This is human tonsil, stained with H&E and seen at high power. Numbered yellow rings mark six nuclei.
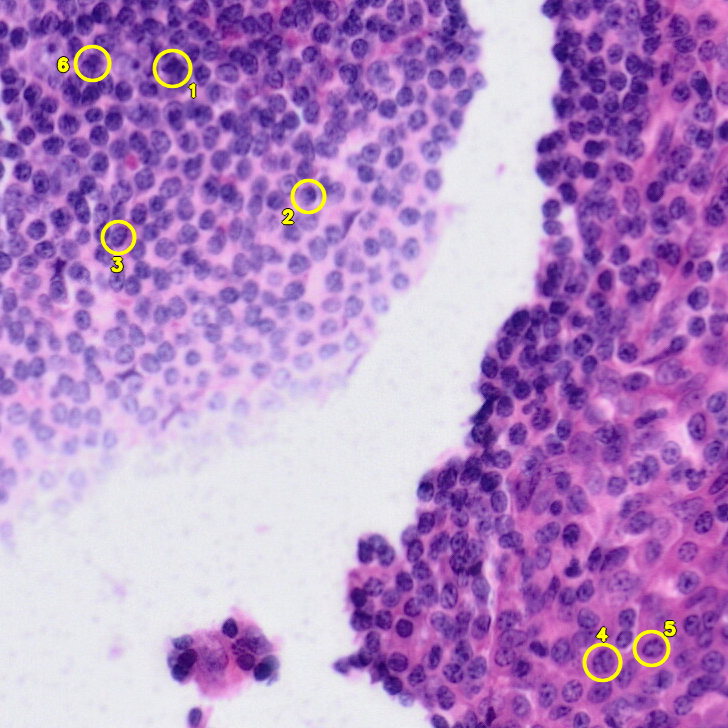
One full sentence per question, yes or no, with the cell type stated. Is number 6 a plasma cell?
No, it is a small lymphocyte, rather than a plasma cell, that carries number 6.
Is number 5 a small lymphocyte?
No, the cell numbered 5 is a plasma cell rather than a small lymphocyte.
